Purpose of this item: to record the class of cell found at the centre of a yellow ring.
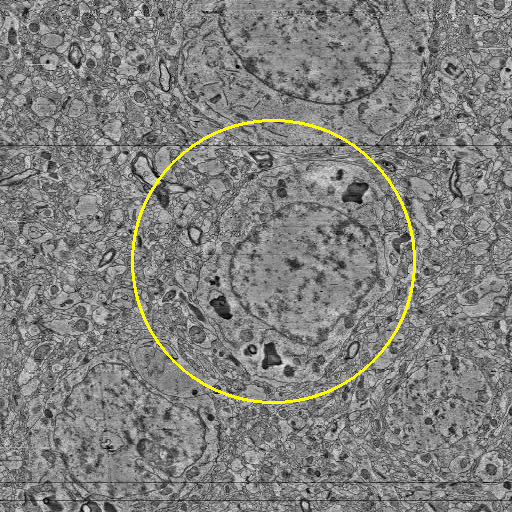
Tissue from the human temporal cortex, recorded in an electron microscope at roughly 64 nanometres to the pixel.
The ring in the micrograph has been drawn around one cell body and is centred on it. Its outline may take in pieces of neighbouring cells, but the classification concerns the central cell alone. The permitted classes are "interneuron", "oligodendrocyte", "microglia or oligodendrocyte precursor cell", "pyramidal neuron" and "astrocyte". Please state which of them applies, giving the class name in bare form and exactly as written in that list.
interneuron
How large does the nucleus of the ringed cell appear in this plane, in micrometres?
About 9 micrometres across in this plane.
